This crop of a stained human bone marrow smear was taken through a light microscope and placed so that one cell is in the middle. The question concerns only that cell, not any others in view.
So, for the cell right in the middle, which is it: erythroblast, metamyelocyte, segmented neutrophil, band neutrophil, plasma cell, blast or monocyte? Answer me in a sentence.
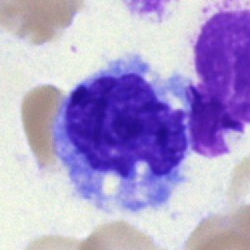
The cell the crop is centered on is a monocyte.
